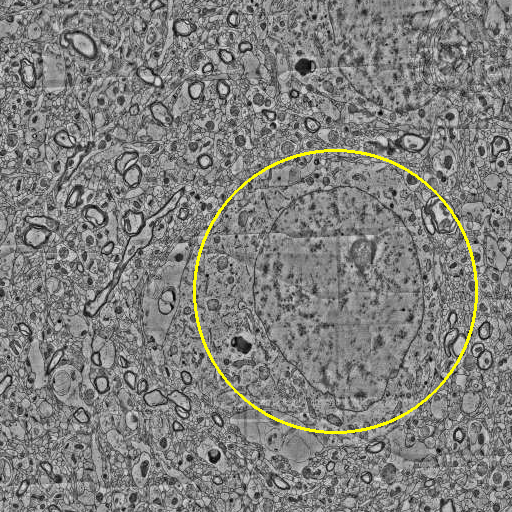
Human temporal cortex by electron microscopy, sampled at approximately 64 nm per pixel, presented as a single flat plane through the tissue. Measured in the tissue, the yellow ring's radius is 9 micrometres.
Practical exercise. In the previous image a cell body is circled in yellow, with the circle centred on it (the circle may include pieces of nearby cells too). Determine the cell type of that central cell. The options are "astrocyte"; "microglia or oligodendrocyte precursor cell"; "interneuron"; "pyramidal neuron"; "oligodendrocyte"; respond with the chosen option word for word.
pyramidal neuron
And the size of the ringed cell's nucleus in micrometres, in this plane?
The nucleus appears roughly 14 by 11 micrometres in this plane.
